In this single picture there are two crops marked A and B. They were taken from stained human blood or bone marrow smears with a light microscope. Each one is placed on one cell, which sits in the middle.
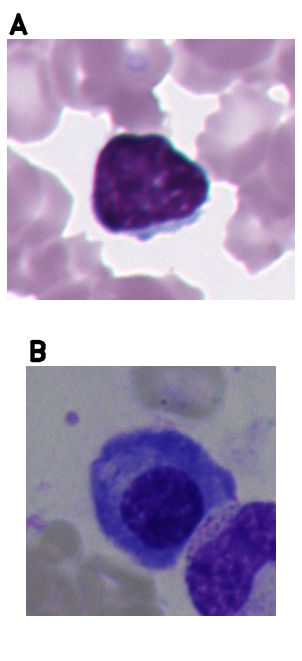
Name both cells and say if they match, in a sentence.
No, a lymphocyte is depicted by crop A, a plasma cell by crop B.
